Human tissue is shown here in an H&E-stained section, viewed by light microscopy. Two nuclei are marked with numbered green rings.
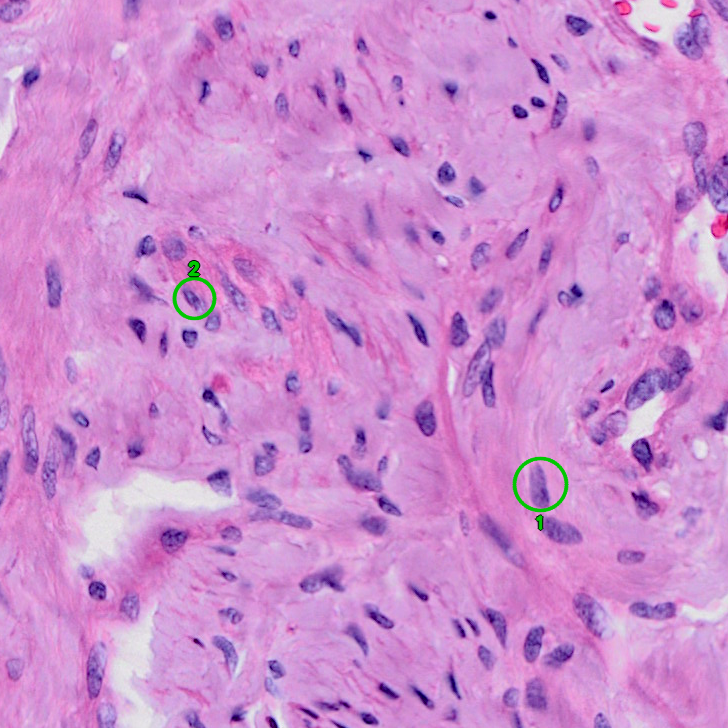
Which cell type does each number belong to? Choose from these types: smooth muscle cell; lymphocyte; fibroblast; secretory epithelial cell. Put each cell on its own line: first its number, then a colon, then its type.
1: fibroblast
2: smooth muscle cell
